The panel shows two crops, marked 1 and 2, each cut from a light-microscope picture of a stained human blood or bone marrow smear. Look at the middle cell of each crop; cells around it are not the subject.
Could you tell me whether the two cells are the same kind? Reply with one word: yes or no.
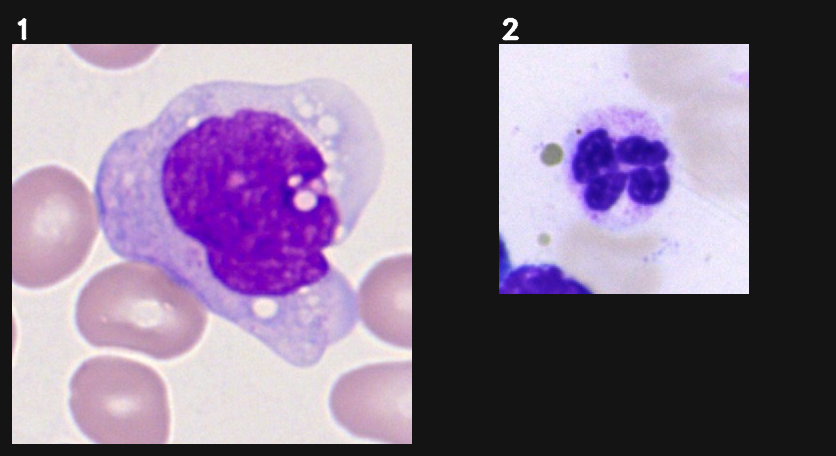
no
